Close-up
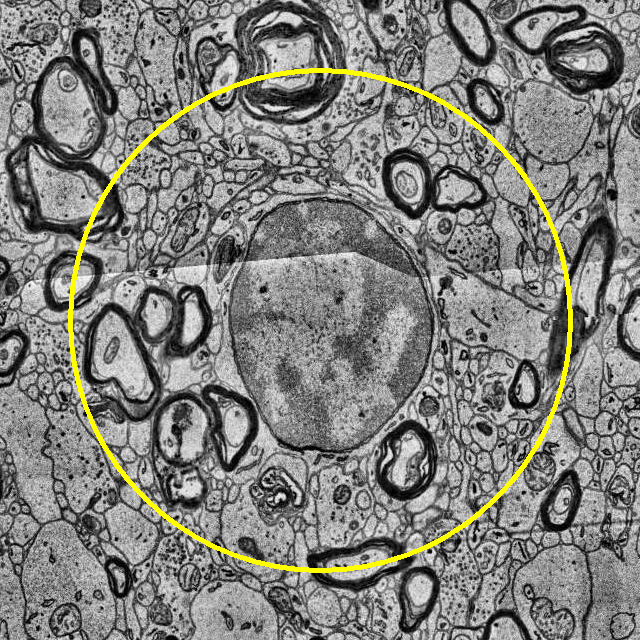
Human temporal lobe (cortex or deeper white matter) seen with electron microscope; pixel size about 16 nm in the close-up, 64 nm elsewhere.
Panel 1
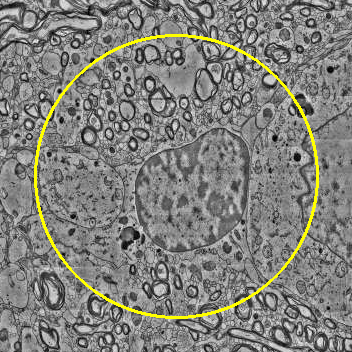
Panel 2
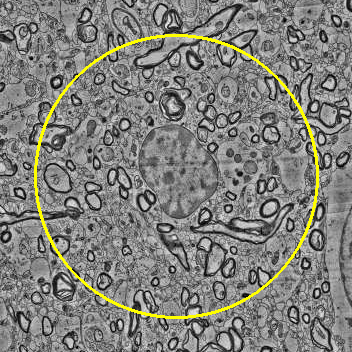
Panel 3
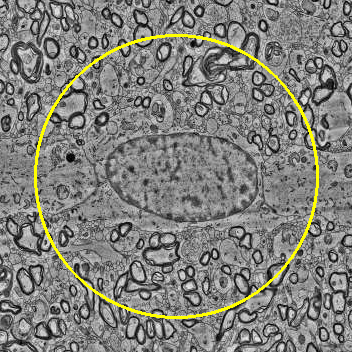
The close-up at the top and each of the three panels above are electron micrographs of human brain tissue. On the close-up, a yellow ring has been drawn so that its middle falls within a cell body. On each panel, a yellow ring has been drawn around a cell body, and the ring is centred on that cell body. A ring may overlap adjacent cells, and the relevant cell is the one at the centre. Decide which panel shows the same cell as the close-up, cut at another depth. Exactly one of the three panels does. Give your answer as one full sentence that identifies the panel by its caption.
The cell enlarged for the close-up is ringed in Panel 2.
